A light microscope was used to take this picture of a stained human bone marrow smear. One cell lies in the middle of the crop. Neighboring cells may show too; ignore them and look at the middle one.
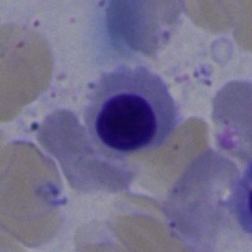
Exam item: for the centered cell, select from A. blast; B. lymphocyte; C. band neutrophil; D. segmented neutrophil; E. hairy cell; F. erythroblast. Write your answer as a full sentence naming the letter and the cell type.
The cell in the middle is an erythroblast, so option F is correct.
